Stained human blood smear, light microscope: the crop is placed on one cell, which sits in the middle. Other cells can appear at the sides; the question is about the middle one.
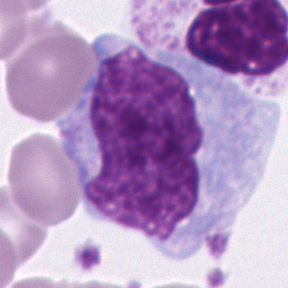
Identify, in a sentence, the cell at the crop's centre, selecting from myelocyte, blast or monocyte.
The cell in the middle of this crop is a monocyte.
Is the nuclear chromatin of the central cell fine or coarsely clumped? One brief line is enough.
The key point is fine chromatin with no coarse clumps.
